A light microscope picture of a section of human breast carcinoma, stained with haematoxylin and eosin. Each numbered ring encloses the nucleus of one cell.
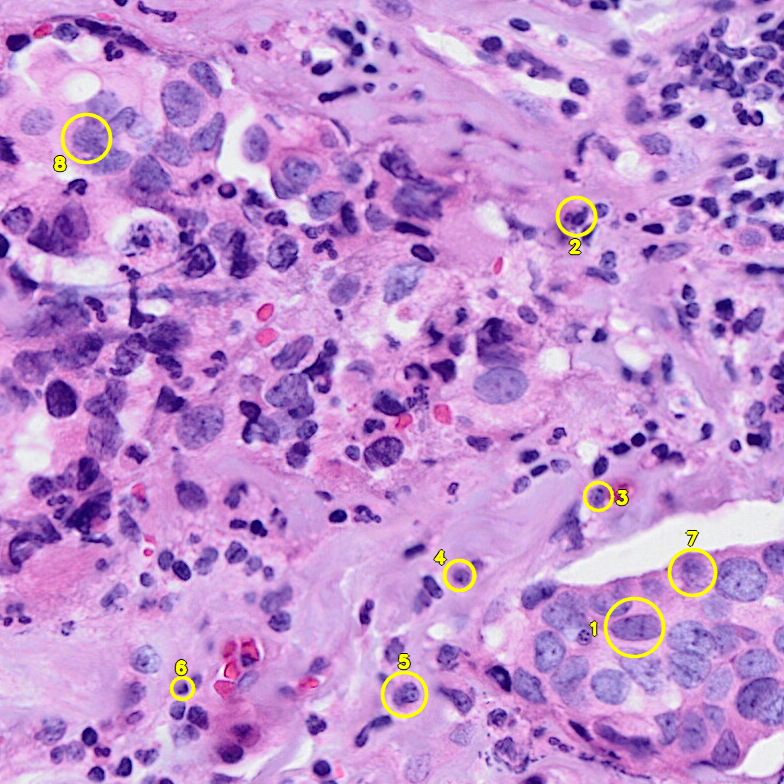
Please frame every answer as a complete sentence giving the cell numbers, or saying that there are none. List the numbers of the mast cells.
The cells that have been numbered 4 and 5 are mast cells.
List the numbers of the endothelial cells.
Among the labelled cells, only the cell labelled 3 is an endothelial cell.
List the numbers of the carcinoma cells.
When it comes to cells 1, 7 and 8, they are carcinoma cells.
